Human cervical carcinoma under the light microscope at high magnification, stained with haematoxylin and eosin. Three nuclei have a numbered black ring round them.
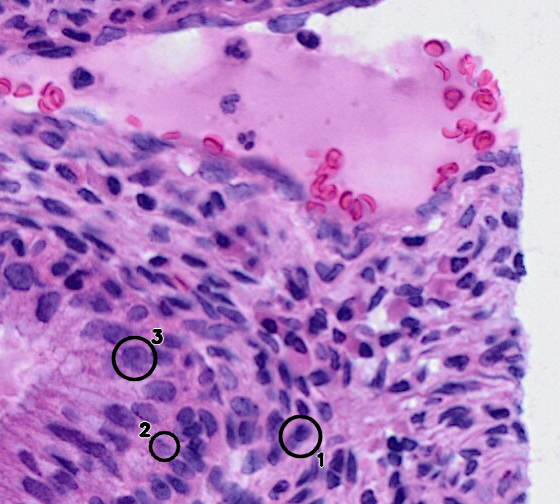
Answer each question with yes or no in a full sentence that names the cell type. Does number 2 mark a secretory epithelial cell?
Yes, number 2 in this section denotes a secretory epithelial cell.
